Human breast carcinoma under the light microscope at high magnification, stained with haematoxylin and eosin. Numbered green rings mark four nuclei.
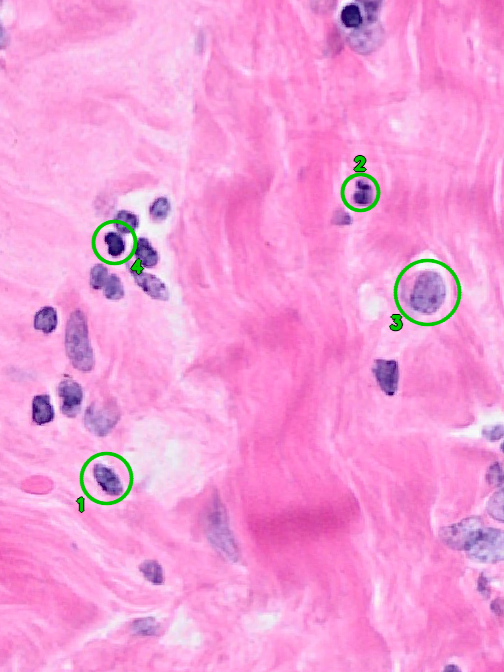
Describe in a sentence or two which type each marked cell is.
Cell 1 is a lymphocyte, cell 2 is a lymphocyte, cell 3 is a fibroblast and cell 4 is a lymphocyte.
